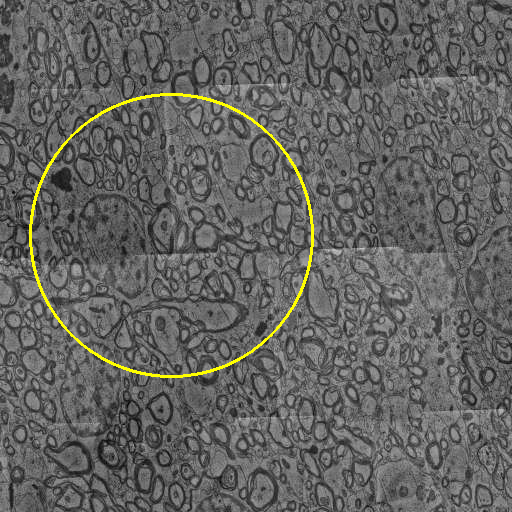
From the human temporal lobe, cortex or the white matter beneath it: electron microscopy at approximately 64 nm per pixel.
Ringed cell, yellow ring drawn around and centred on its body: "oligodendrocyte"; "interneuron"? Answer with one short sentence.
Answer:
This ringed cell is an oligodendrocyte.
